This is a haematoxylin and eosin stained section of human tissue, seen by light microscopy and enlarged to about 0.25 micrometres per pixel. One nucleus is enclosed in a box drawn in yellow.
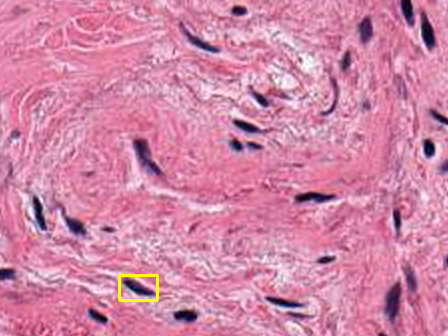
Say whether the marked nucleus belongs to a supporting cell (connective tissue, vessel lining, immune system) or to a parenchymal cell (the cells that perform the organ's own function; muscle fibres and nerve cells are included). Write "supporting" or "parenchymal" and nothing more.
supporting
